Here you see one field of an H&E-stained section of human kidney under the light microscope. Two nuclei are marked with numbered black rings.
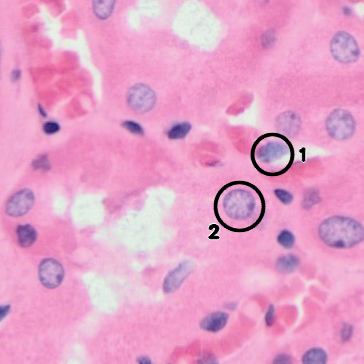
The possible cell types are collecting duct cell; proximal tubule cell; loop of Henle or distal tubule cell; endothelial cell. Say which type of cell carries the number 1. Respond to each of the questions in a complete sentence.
Numbered cell 1 is an endothelial cell in this tissue section.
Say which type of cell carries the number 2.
Here the cell numbered 2 is a proximal tubule cell.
